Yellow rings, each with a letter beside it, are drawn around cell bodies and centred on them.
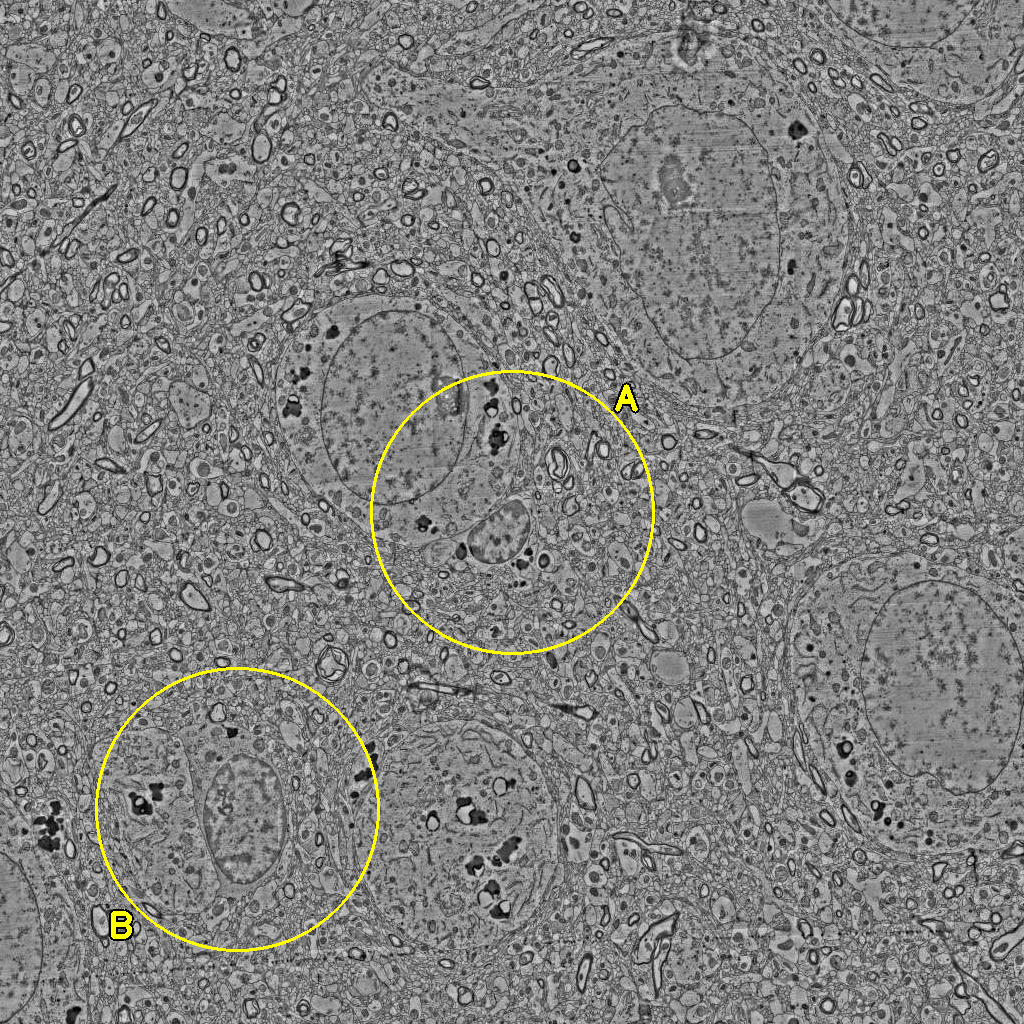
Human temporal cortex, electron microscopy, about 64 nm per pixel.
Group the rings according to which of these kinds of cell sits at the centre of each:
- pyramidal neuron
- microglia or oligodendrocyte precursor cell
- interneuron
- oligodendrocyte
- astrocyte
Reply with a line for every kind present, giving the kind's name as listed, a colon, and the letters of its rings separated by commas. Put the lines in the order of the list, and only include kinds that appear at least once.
microglia or oligodendrocyte precursor cell: A
oligodendrocyte: B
